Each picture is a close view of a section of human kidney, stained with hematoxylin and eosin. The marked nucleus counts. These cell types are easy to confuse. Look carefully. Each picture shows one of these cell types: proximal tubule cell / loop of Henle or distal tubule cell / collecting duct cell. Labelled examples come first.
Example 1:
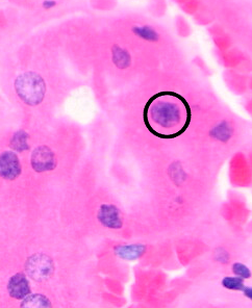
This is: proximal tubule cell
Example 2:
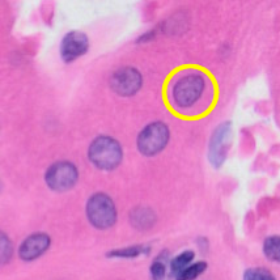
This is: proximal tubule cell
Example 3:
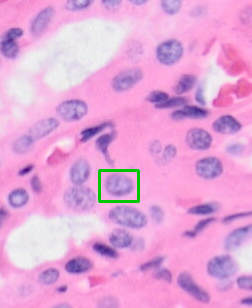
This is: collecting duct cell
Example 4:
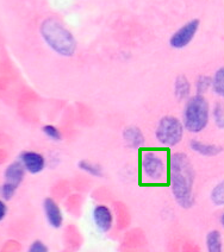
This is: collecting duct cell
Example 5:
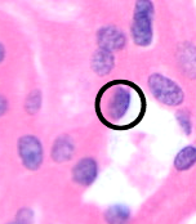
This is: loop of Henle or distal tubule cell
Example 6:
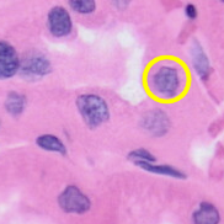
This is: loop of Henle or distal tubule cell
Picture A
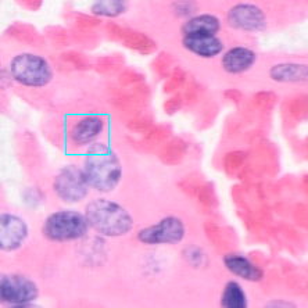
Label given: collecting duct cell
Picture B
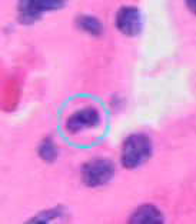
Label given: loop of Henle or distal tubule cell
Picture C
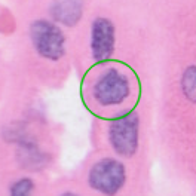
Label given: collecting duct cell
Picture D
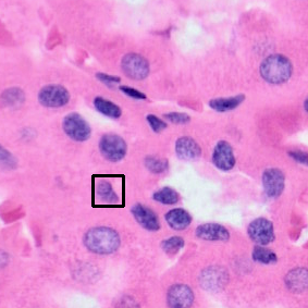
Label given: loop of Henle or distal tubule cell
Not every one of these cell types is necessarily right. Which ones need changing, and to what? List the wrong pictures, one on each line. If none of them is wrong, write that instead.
All labels are correct.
